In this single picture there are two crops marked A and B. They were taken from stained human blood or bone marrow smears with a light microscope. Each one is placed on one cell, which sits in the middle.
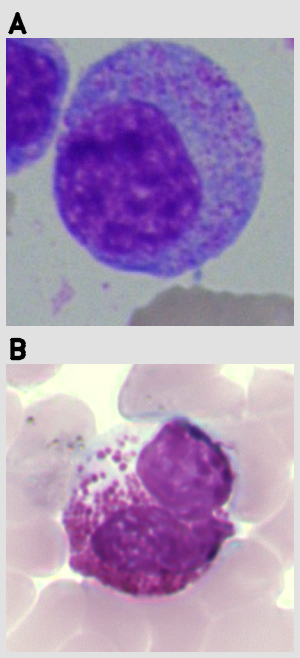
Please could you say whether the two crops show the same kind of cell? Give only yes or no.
no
